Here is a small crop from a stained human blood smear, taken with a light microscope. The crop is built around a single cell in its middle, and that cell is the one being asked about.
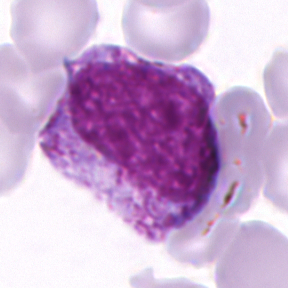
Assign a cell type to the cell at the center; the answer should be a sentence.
Framed in the middle of the crop is a promyelocyte.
